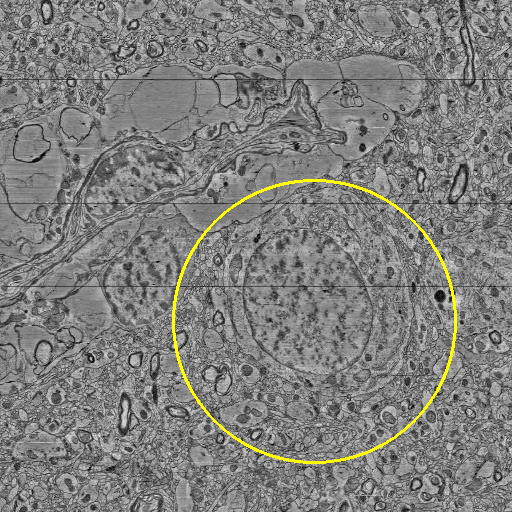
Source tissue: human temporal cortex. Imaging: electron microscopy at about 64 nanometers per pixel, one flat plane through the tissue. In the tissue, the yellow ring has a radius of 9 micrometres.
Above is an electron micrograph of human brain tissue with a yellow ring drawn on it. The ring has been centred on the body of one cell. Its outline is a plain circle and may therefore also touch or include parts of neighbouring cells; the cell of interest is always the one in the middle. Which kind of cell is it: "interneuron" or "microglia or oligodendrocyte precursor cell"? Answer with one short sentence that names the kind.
The ring's central cell body is that of an interneuron.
